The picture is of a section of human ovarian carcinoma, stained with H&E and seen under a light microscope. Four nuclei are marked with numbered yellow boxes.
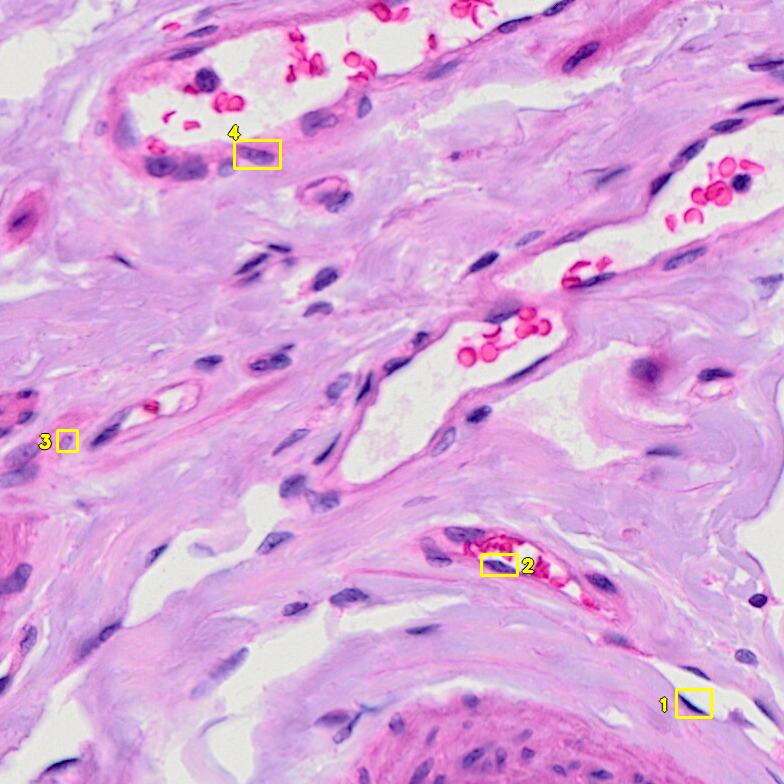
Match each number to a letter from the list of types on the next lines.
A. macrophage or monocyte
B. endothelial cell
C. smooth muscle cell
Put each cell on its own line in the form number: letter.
1: B
2: B
3: C
4: B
